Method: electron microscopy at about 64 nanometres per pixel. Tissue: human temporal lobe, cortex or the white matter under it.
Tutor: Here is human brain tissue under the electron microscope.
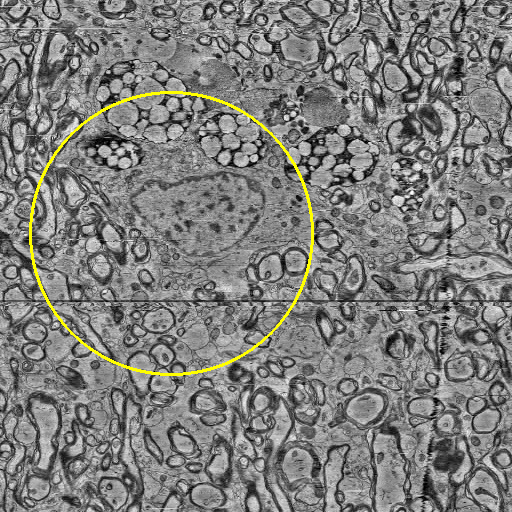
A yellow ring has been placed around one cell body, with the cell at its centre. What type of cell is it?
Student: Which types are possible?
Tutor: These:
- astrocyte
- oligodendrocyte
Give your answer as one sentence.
What the ring picks out here is an astrocyte.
